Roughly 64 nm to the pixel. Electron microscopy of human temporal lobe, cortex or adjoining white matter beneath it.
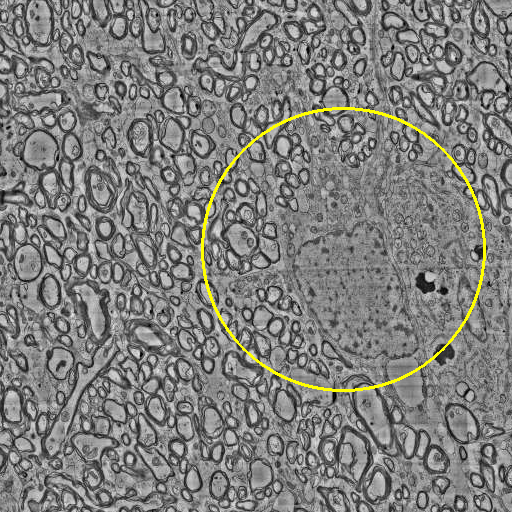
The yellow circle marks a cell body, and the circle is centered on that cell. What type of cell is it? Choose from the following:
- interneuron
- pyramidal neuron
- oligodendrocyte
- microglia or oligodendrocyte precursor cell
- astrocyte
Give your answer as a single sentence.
This cell body belongs to an astrocyte.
